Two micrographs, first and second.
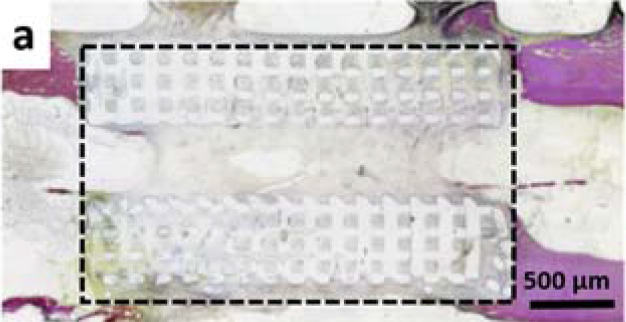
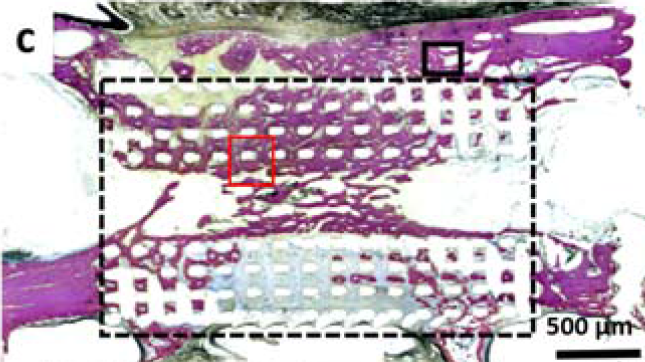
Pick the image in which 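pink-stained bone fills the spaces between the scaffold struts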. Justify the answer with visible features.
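Second image: pink tissue fills most pores of the grid inside the dashed box. First image: the grid pores inside the dashed box are pale and empty, pink only outside the box.
The second image.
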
